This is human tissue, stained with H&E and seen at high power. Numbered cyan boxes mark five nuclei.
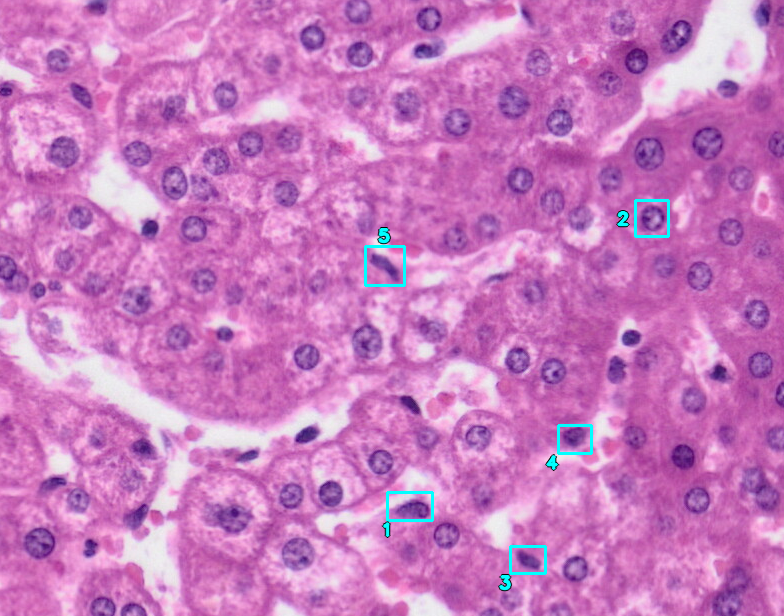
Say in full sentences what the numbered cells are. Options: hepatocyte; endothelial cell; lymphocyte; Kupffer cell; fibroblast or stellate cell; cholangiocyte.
Cell 1 is a Kupffer cell, cell 2 is a hepatocyte, cell 3 is a fibroblast or stellate cell, cell 4 is a Kupffer cell and cell 5 is a Kupffer cell.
